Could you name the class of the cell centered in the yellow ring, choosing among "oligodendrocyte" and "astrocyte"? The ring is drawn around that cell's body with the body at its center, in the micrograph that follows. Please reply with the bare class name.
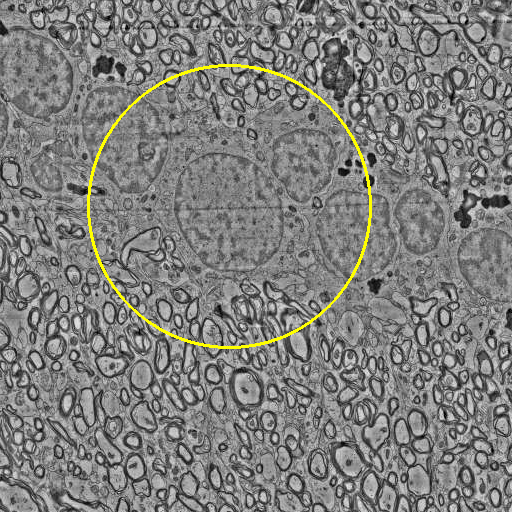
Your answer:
oligodendrocyte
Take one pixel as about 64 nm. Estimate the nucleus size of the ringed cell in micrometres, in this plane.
In this plane, approximately 8 by 7 micrometers.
